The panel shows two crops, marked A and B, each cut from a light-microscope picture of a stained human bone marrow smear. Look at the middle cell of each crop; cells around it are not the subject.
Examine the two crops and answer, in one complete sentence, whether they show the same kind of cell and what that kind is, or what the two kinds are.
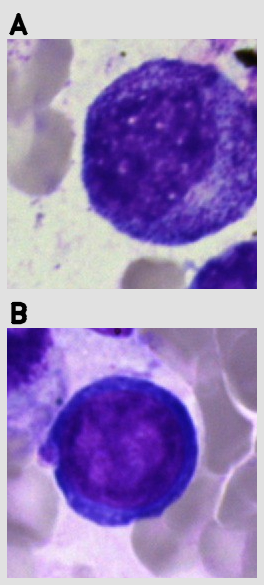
No, a proerythroblast is the cell of crop B, while a promyelocyte is the cell of crop A.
